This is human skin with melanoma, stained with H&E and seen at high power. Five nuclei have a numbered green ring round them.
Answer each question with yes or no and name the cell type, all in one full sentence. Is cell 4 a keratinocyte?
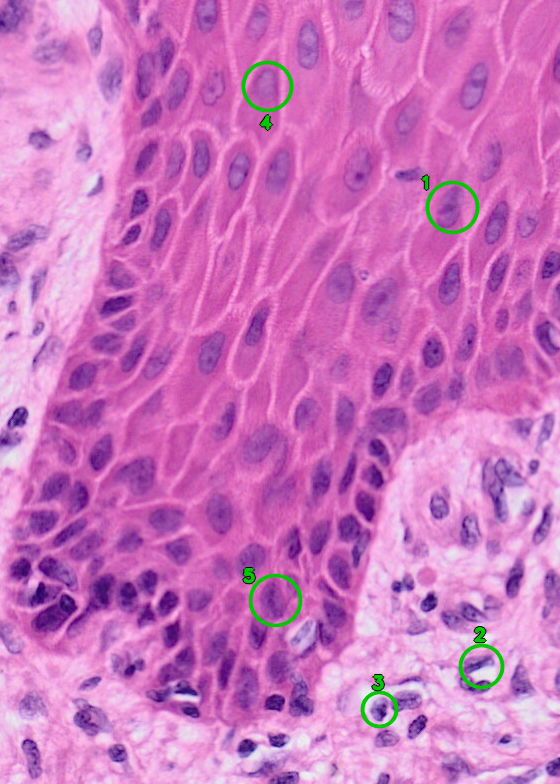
Yes, the cell carrying number 4 is a keratinocyte.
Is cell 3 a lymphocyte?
Yes, the number 3 belongs to a lymphocyte.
